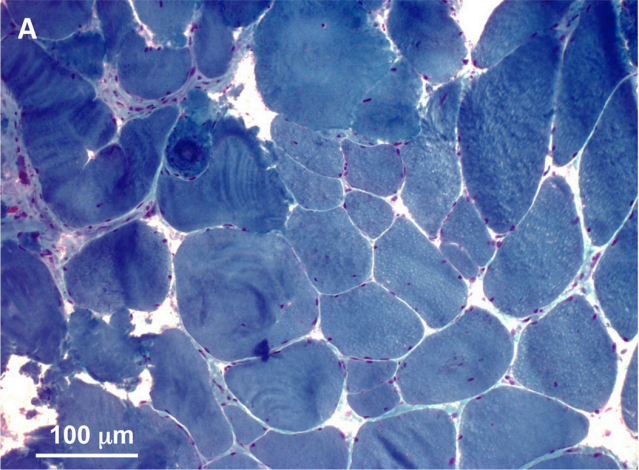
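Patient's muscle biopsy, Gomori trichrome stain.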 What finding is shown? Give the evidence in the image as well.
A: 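Muscle fibres in cross-section range from small to very large. Small angular fibres lie between large rounded fibres. On this evidence: fibre size variability.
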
